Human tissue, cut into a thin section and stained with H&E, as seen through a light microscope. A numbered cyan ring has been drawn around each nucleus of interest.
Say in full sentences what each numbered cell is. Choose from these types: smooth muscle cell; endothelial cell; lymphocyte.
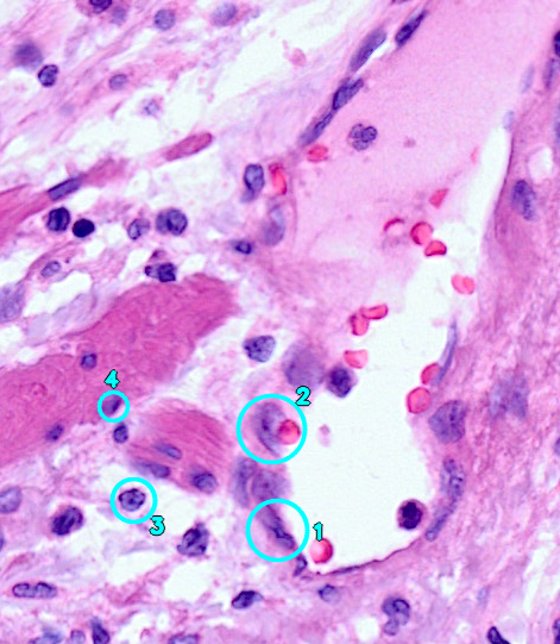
Cell 1 is an endothelial cell, cell 2 is an endothelial cell, cell 3 is a lymphocyte and cell 4 is a smooth muscle cell.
